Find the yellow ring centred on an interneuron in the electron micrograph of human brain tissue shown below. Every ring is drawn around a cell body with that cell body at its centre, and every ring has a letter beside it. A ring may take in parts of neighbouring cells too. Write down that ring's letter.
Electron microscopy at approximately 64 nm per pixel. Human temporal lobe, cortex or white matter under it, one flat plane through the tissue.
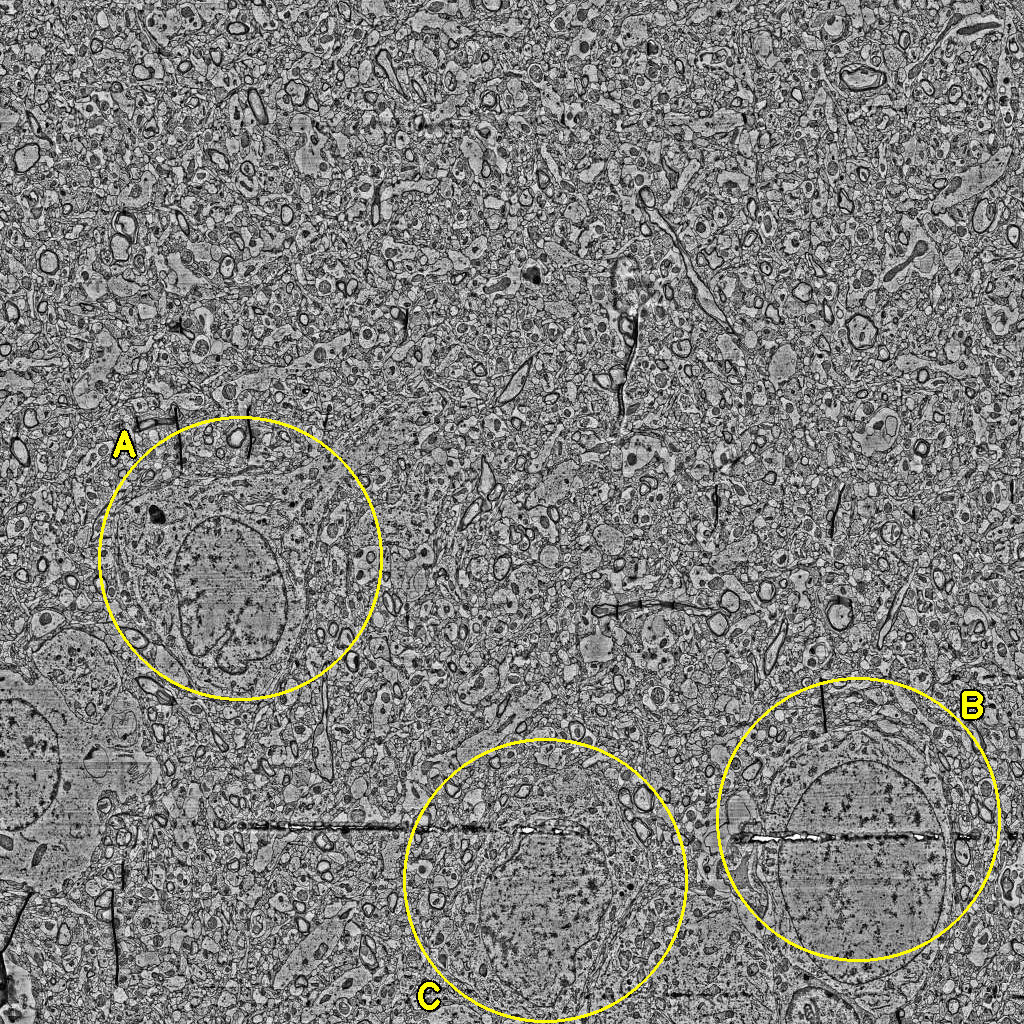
C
